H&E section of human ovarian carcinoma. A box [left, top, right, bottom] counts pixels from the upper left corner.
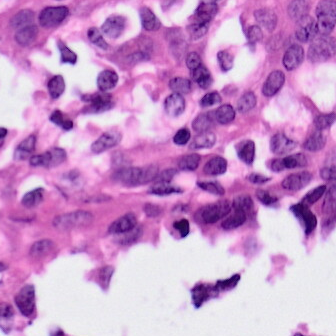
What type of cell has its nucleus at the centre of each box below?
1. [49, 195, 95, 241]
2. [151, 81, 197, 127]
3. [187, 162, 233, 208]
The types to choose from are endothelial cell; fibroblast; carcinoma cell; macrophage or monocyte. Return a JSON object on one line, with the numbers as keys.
{"1": "endothelial cell", "2": "macrophage or monocyte", "3": "carcinoma cell"}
